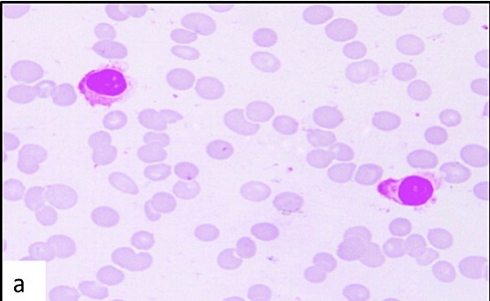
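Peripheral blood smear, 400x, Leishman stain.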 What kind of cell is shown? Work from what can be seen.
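Two nucleated cells lie among many red blood cells. The cytoplasmic border is irregular rather than smooth.
Hairy cells.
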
